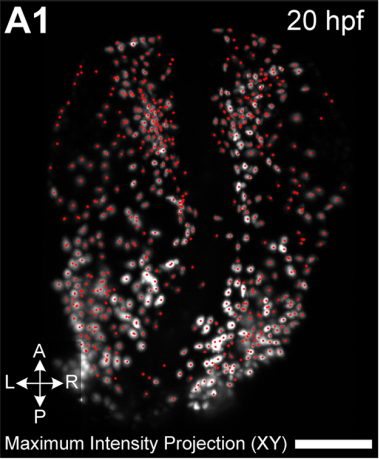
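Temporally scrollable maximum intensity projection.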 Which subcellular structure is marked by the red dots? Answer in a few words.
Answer: cell nuclei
